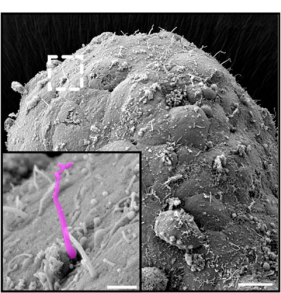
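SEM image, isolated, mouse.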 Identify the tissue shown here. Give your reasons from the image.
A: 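Islet. A rounded compact cluster of many cells viewed from the surface. Cell bodies bulge as domes across the surface. Many thin projections stick out from the surface.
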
